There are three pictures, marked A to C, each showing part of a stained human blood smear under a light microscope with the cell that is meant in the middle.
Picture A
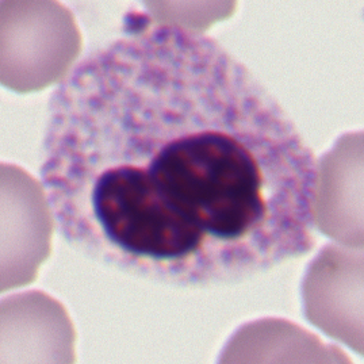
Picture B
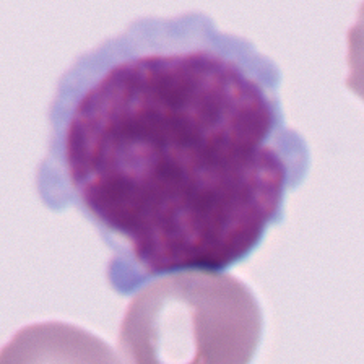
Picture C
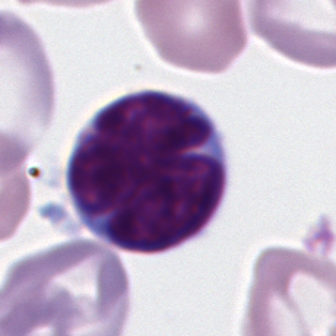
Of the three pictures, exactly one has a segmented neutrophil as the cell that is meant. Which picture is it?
A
